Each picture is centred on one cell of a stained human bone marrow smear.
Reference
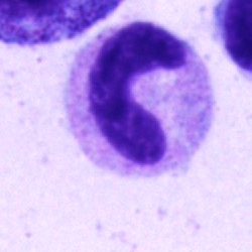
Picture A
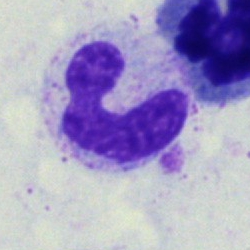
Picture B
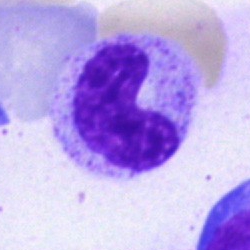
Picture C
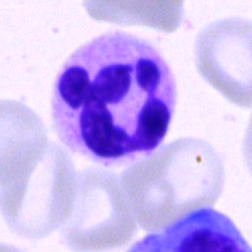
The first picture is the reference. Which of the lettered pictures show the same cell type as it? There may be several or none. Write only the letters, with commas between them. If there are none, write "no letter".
A, B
